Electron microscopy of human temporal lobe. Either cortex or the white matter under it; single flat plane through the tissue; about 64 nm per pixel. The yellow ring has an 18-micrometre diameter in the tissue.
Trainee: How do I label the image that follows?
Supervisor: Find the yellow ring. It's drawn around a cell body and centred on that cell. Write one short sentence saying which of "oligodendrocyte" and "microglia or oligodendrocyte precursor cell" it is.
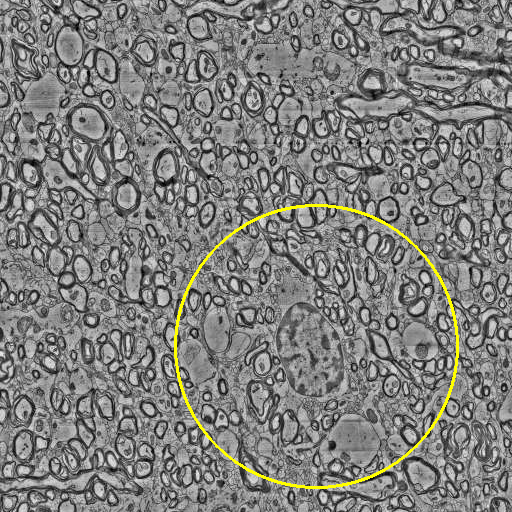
This is the cell body of a microglial cell or oligodendrocyte precursor cell.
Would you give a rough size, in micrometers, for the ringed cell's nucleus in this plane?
In this plane the nucleus measures roughly 6 by 4 micrometers.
